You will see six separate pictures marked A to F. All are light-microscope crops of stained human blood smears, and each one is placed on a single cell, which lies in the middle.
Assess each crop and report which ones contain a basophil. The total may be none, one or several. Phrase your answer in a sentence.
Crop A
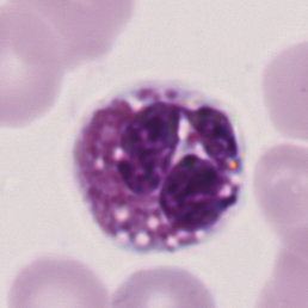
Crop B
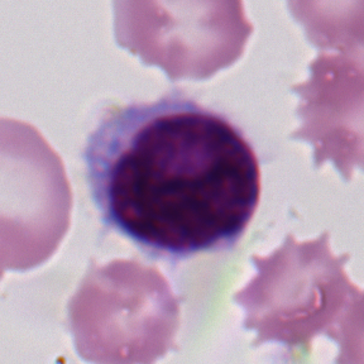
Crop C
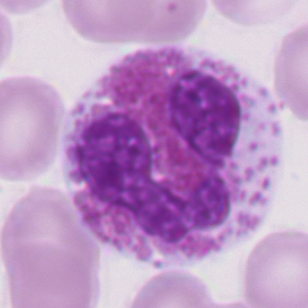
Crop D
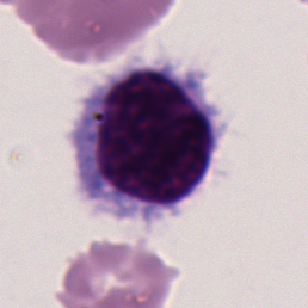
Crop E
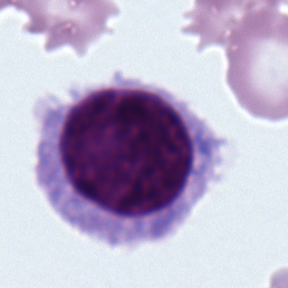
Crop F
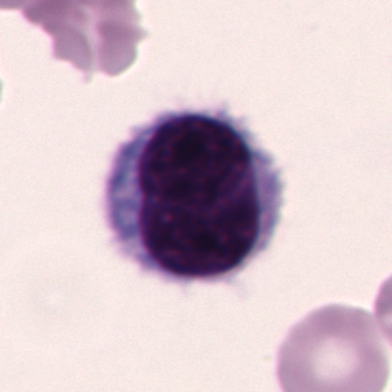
Each crop was checked, and none of them shows a basophil.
